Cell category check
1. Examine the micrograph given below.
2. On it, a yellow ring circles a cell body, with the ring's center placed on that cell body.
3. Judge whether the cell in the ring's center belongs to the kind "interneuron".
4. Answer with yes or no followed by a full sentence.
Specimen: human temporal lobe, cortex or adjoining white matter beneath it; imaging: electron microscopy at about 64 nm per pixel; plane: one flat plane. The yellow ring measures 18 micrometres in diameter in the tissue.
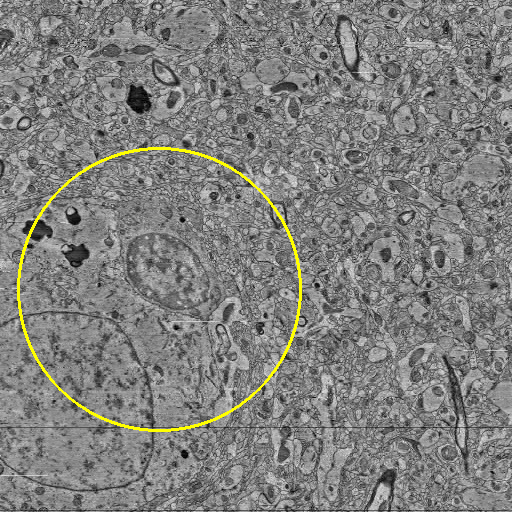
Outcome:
No, the cell found at the ring's center in the micrograph belongs to another kind.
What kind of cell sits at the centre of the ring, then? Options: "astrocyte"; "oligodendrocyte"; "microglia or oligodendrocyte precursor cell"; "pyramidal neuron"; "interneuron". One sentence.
Instead, the cell at the centre of the ring is an oligodendrocyte.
